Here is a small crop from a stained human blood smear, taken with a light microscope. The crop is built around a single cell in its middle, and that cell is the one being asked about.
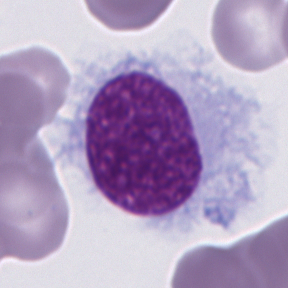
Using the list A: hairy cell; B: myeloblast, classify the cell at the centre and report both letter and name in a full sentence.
Option A is the keyed answer: the cell in the middle is a hairy cell.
